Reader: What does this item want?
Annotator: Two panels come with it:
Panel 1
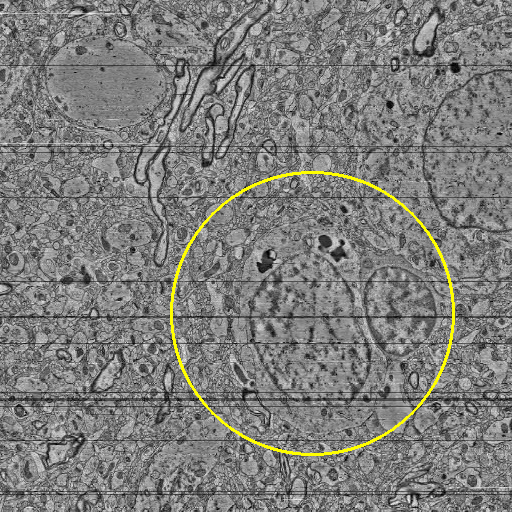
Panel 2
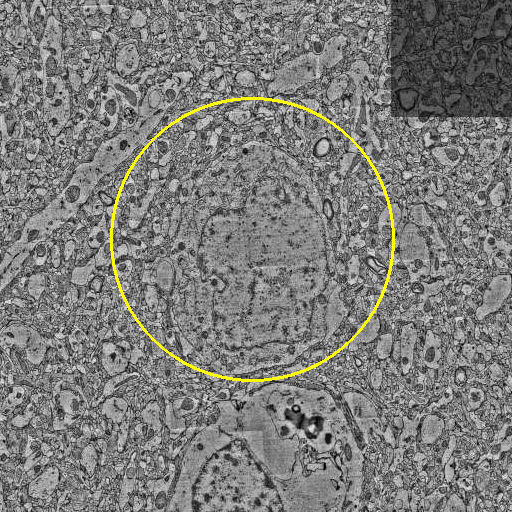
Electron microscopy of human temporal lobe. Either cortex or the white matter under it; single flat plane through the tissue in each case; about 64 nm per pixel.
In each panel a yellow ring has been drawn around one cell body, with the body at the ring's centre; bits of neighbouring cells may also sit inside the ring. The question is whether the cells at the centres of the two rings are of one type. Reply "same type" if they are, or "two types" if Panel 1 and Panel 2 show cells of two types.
same type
